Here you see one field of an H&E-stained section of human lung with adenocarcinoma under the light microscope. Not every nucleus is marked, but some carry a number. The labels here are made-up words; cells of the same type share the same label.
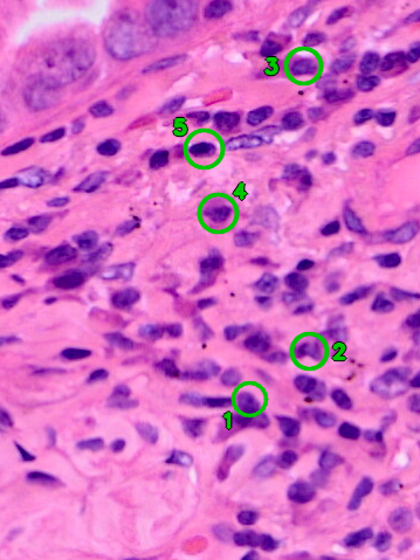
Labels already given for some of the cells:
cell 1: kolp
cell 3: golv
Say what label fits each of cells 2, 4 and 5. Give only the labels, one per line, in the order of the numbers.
golv
golv
kolp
